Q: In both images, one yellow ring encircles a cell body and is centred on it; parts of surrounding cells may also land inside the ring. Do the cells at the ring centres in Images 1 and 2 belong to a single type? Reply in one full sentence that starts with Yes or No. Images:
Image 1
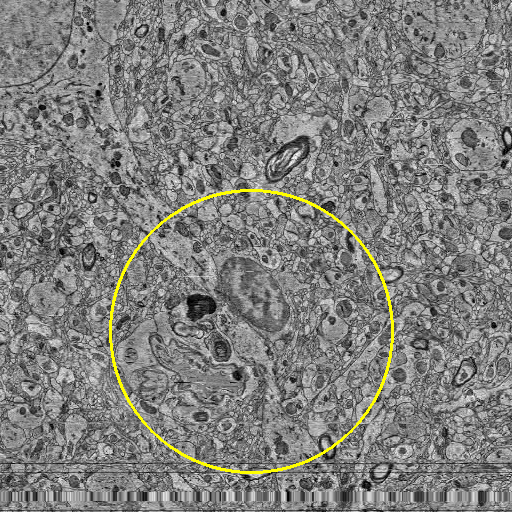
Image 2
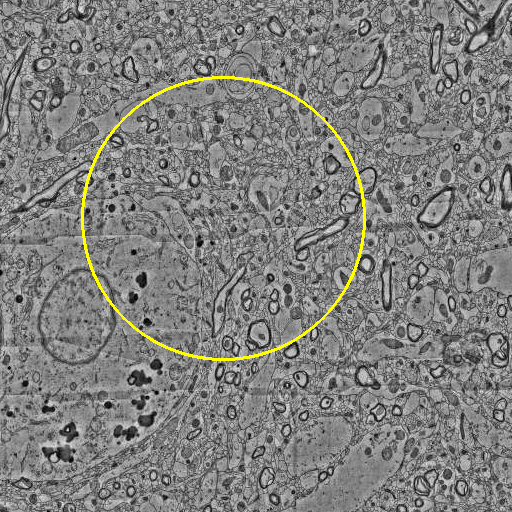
Yes, the cells at the ring centres in Images 1 and 2 are of a single type.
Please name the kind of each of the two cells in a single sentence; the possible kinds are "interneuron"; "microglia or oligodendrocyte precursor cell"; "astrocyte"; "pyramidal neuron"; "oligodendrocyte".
The cell at the ring centre is an oligodendrocyte in both pictures.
